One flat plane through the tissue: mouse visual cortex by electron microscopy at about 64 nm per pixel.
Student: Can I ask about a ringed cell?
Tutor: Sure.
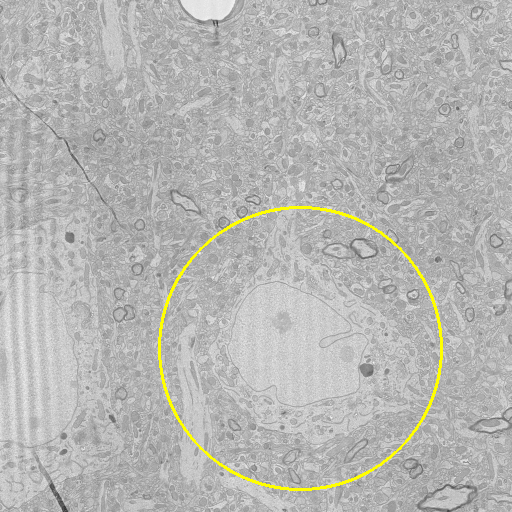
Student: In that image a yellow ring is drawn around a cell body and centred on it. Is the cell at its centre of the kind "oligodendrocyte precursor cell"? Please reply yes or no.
No, the cell is of another kind.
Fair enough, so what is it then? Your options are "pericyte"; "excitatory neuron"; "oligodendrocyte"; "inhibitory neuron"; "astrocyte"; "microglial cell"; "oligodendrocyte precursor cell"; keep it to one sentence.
Instead, the picture shows an excitatory neuron at the centre of the ring.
